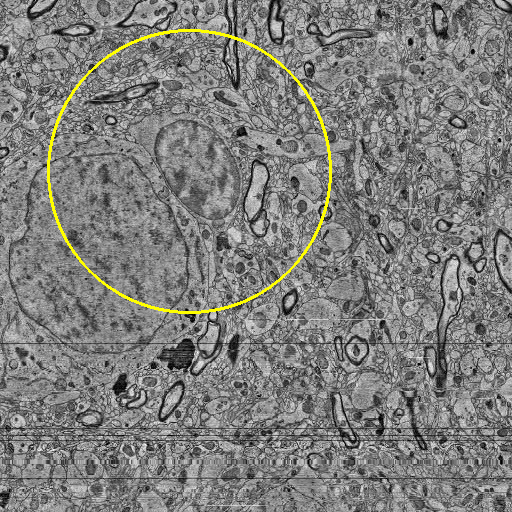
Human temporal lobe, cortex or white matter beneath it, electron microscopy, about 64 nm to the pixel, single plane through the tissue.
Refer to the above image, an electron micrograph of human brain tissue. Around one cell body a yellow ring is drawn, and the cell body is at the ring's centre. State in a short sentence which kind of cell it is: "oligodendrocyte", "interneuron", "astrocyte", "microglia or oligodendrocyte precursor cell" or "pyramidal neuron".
The centre of the ring falls on an oligodendrocyte.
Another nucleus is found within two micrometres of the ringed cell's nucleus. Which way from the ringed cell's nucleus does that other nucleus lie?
The other one lies to the lower left of it.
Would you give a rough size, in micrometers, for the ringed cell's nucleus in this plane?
The nucleus has a long axis of about 7 micrometres and a short axis of about 5 micrometres in this plane.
